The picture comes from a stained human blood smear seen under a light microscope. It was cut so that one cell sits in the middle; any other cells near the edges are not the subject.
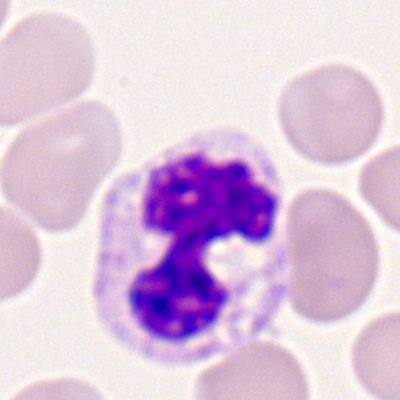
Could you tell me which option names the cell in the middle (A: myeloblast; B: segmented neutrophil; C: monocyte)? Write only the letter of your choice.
B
